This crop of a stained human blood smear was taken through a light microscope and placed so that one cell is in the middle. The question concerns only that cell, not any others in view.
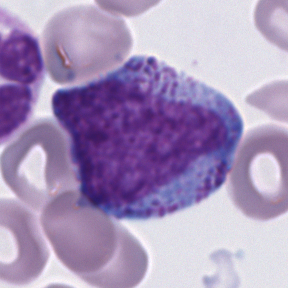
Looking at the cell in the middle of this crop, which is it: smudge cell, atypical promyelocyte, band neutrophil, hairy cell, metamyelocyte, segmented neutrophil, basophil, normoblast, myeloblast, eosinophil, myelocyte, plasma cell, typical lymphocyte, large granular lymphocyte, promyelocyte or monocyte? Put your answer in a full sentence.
The cell that lies at the centre of the crop is a promyelocyte.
